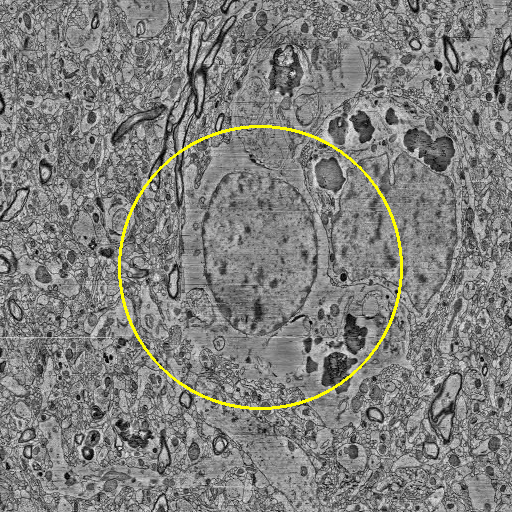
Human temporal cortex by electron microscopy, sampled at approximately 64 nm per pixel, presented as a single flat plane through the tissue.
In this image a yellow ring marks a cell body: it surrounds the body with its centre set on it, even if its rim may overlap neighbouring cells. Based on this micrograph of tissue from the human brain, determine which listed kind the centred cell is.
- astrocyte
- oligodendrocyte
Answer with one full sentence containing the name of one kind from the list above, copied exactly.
It is an astrocyte whose body the yellow ring encloses at its centre.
